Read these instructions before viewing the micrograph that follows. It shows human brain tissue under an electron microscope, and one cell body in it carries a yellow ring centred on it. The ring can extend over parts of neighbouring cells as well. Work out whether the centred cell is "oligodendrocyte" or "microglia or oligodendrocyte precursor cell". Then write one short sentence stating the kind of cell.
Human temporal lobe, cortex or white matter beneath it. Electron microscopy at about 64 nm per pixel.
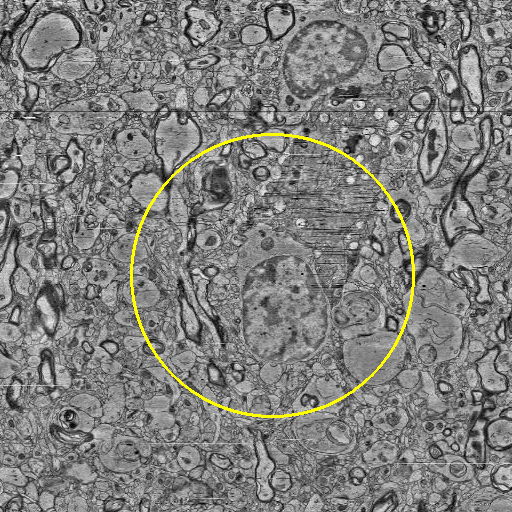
The ringed cell is an oligodendrocyte.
